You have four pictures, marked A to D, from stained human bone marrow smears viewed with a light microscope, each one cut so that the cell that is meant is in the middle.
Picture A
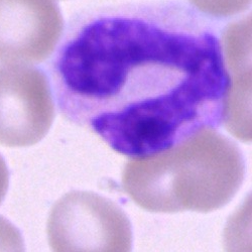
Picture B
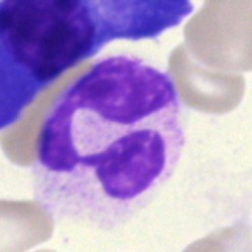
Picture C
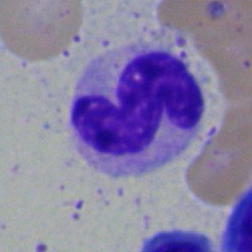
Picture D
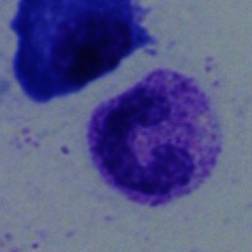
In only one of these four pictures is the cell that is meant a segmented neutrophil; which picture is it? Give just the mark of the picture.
B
